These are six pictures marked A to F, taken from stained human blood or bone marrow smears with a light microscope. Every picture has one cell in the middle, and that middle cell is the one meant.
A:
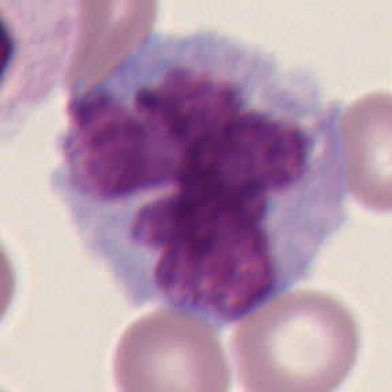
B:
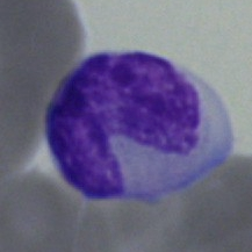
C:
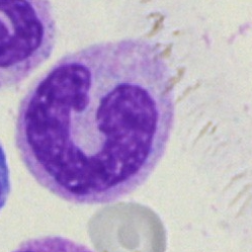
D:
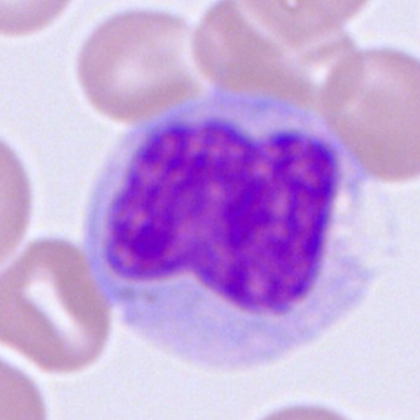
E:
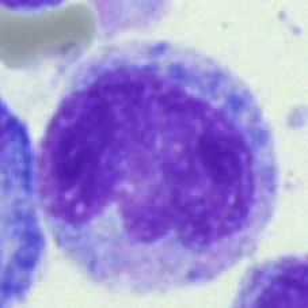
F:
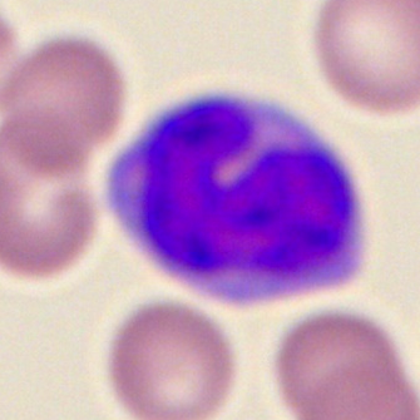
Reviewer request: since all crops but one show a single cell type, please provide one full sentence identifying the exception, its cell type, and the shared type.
Here the outlier is crop C, which is a band neutrophil, and the rest are monocytes.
